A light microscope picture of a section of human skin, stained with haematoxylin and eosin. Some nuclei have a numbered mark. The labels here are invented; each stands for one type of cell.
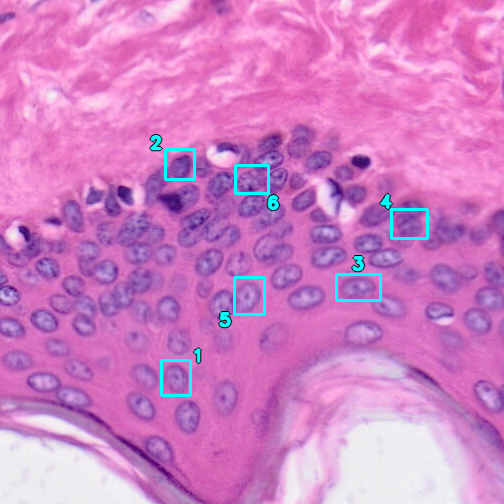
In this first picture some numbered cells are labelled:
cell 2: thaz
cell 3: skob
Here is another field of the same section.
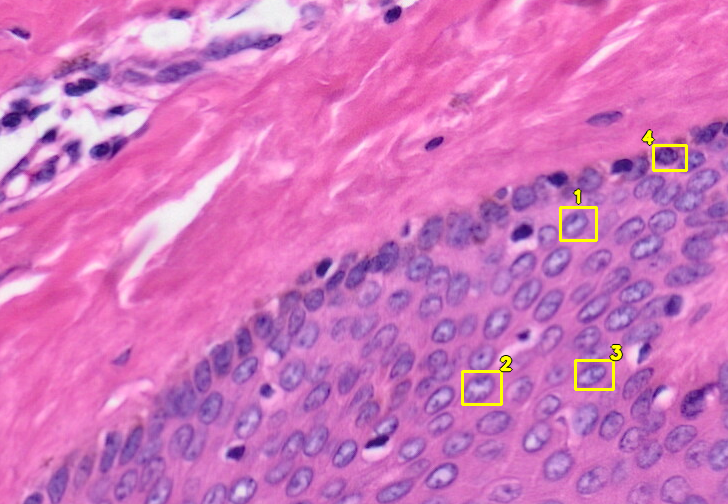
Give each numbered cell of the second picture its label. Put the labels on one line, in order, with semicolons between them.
skob; skob; skob; thaz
